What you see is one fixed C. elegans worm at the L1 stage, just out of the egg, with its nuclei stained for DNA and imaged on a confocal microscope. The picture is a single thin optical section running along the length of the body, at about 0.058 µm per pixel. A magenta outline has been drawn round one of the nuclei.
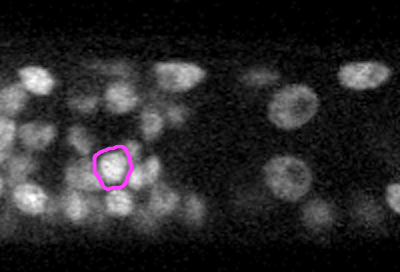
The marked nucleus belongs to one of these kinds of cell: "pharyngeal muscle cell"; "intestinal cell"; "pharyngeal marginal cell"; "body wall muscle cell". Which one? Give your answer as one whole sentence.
This is the nucleus of a pharyngeal muscle cell.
